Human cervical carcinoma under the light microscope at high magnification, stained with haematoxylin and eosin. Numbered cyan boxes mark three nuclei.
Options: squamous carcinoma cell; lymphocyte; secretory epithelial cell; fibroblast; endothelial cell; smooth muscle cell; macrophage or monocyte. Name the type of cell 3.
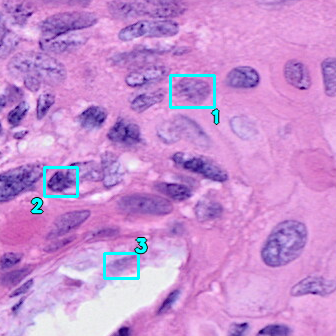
fibroblast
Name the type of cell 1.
squamous carcinoma cell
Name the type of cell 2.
squamous carcinoma cell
